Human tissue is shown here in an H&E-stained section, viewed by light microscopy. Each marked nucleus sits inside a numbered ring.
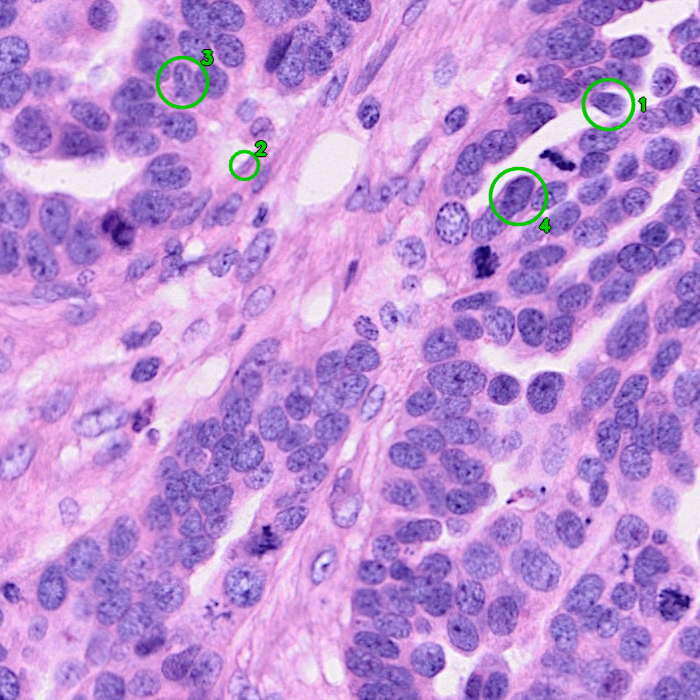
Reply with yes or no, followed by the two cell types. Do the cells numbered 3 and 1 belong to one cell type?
Yes, both are carcinoma cells.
